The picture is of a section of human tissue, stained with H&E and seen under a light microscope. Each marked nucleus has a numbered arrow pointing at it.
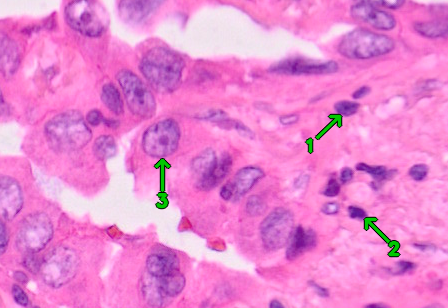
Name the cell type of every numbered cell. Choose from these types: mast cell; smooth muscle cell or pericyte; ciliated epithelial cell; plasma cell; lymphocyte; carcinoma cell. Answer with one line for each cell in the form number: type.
1: lymphocyte
2: lymphocyte
3: carcinoma cell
